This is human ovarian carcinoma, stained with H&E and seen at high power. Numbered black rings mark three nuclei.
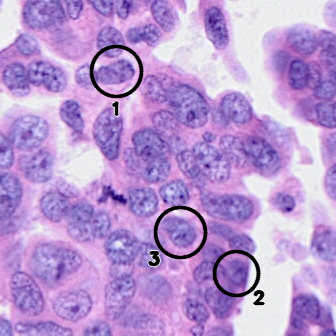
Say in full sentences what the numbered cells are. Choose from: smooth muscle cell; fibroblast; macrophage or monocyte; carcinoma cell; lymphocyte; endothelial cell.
Cell 1 is a macrophage or monocyte, cell 2 is a carcinoma cell and cell 3 is a carcinoma cell.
